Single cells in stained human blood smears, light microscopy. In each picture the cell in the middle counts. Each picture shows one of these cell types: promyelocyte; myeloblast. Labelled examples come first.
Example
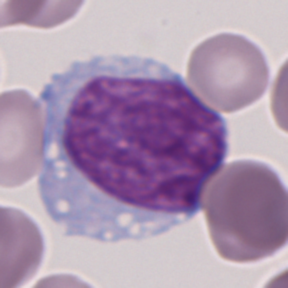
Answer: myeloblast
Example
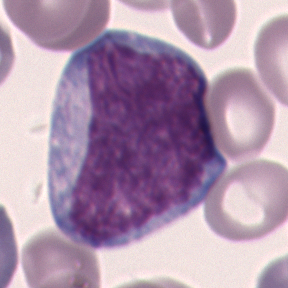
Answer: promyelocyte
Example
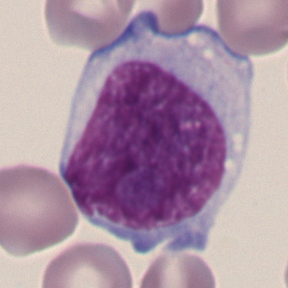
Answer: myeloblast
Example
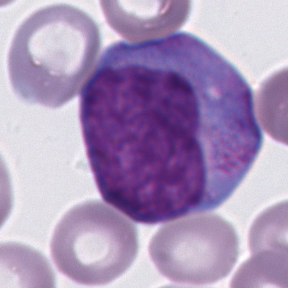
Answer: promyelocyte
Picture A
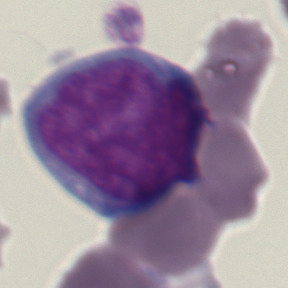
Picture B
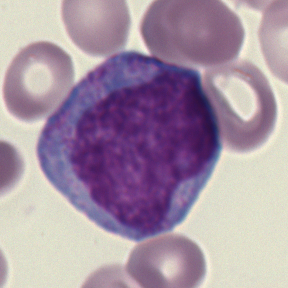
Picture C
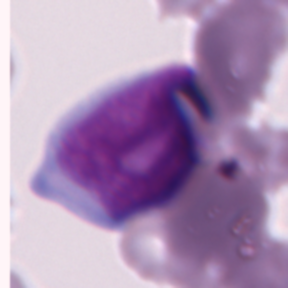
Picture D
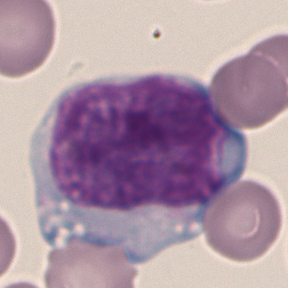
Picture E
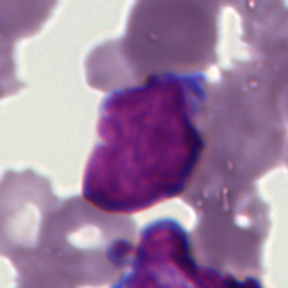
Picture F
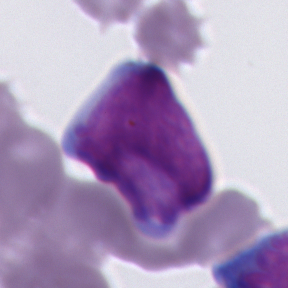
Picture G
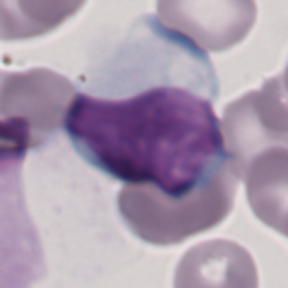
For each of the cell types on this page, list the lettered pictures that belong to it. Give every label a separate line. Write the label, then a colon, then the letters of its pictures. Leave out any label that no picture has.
promyelocyte: B
myeloblast: A, C, D, E, F, G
